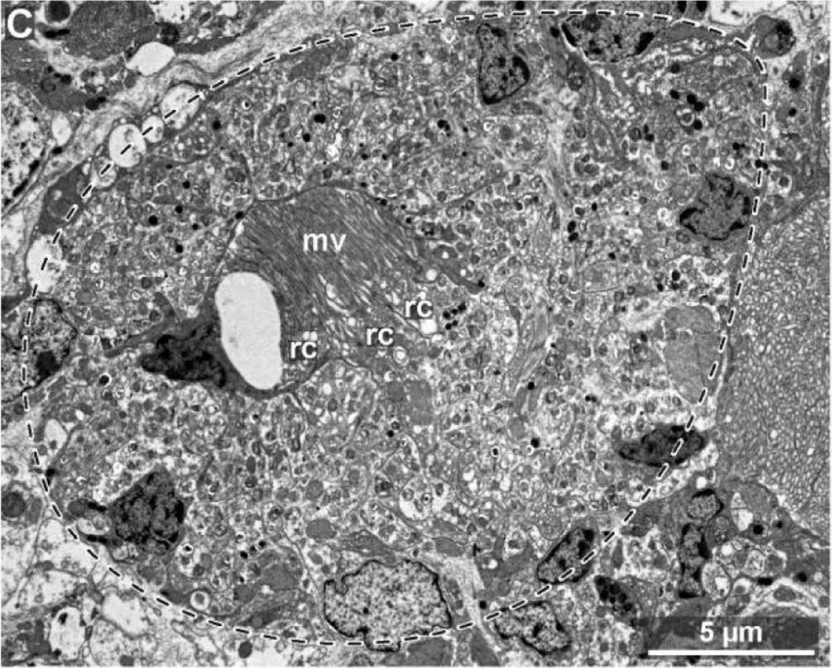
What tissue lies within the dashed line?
Eye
